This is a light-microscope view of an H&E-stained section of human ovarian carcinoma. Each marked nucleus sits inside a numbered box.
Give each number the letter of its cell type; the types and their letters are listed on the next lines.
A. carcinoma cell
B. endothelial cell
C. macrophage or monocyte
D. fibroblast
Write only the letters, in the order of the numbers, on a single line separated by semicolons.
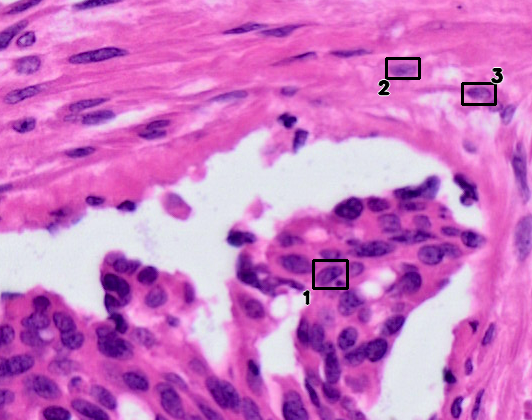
A; D; D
